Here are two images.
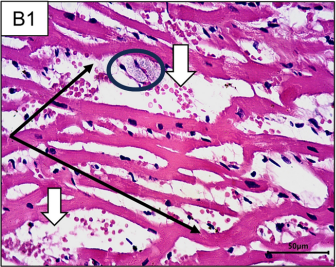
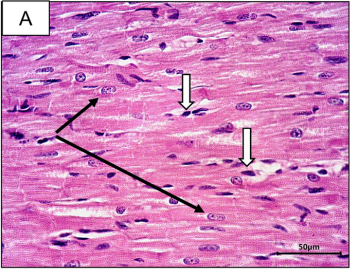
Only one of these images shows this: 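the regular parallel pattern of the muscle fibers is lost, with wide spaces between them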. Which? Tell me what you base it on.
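Second image: fibers run closely packed and parallel. First image: fibers are thin, irregular and separated by wide spaces holding red blood cells.
Answer: the first image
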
